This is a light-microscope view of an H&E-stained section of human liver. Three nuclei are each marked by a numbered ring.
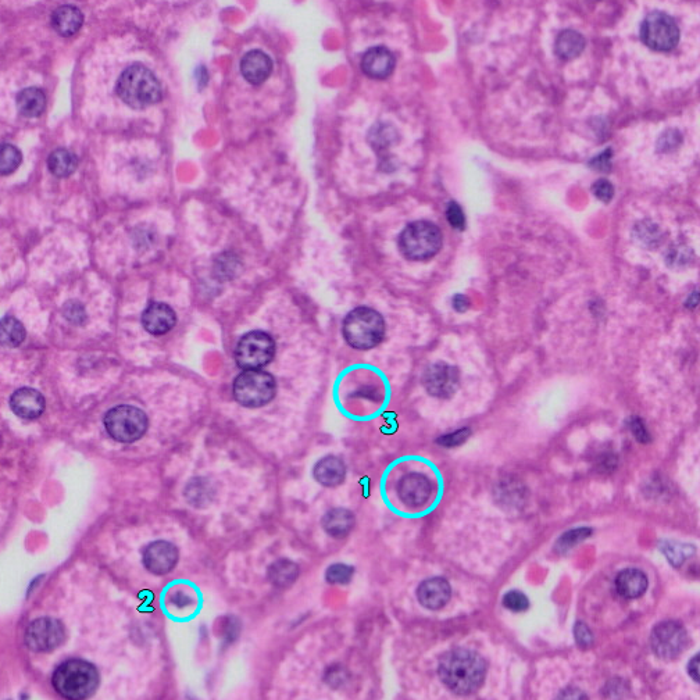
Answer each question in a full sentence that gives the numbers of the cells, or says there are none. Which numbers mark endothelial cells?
Only cell 3 should be marked as an endothelial cell.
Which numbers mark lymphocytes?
Mind that only cell 2 is a lymphocyte, none of the rest.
